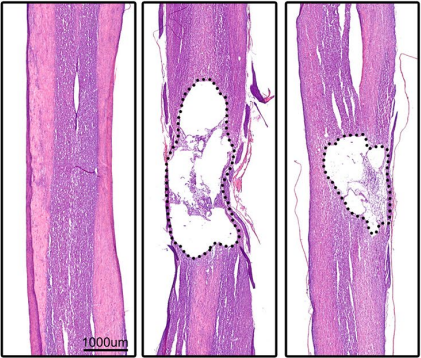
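These are longitudinal sections of spinal cord stained pink and purple, showing the tissue architecture rather than single cells. The middle section has a large irregular hole outlined by a dotted line, where the tissue is lost and only thin strands of debris remain. The right section also carries an outlined defect, but it is clearly smaller, and the tissue around it is more intact.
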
